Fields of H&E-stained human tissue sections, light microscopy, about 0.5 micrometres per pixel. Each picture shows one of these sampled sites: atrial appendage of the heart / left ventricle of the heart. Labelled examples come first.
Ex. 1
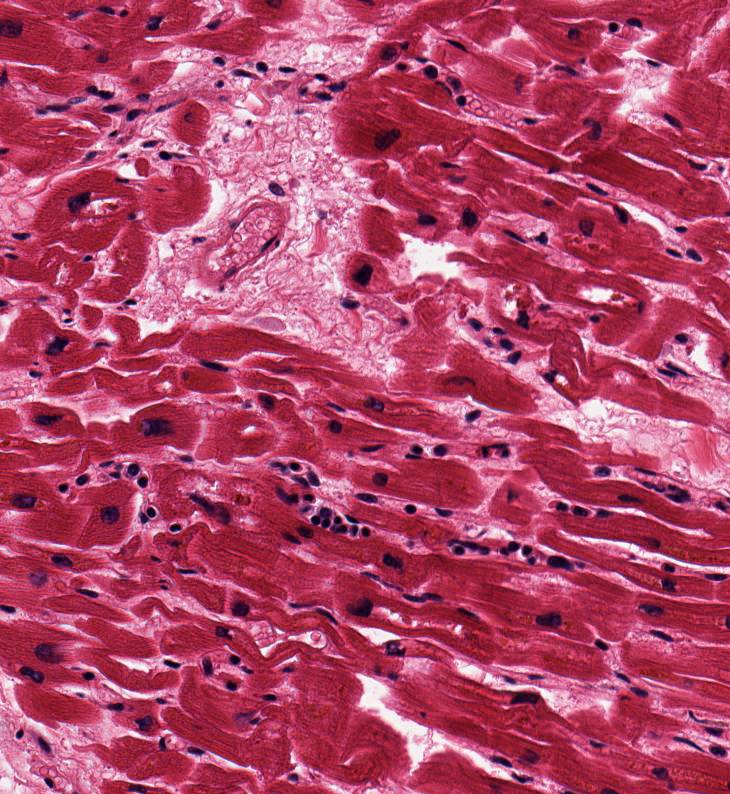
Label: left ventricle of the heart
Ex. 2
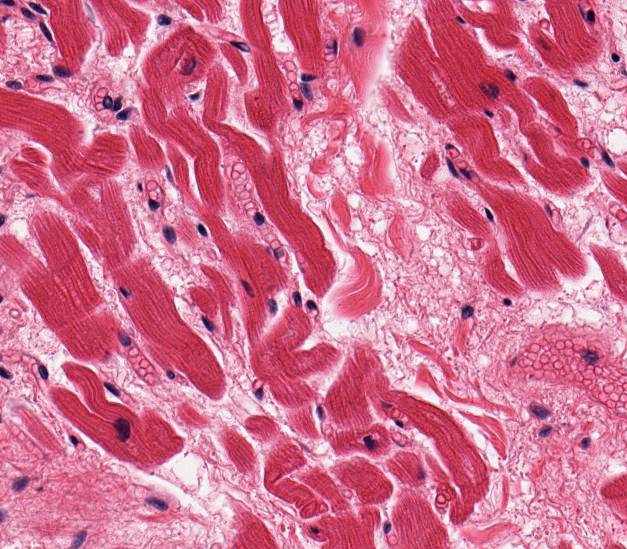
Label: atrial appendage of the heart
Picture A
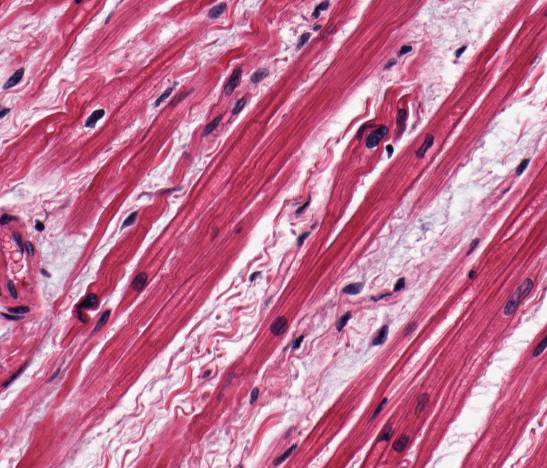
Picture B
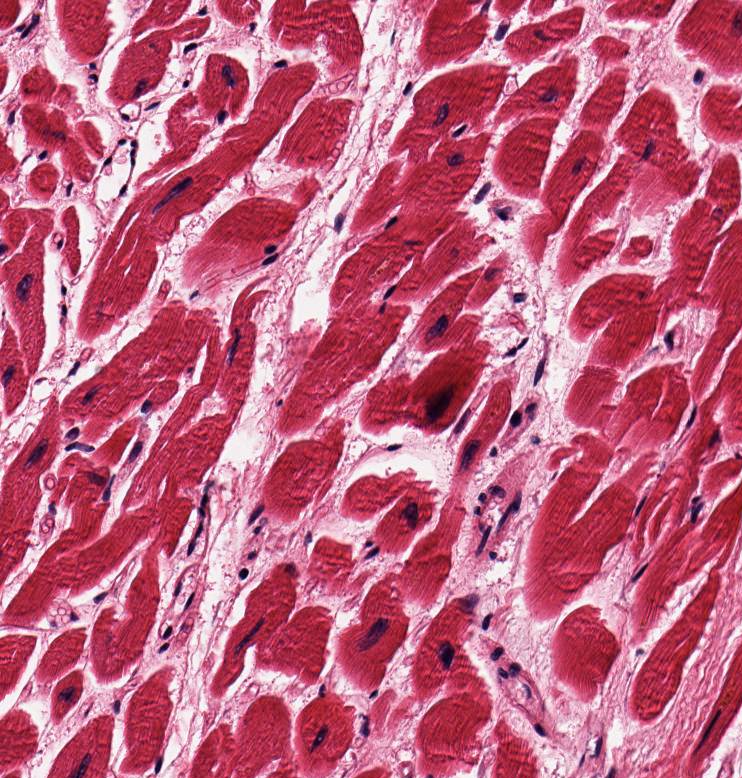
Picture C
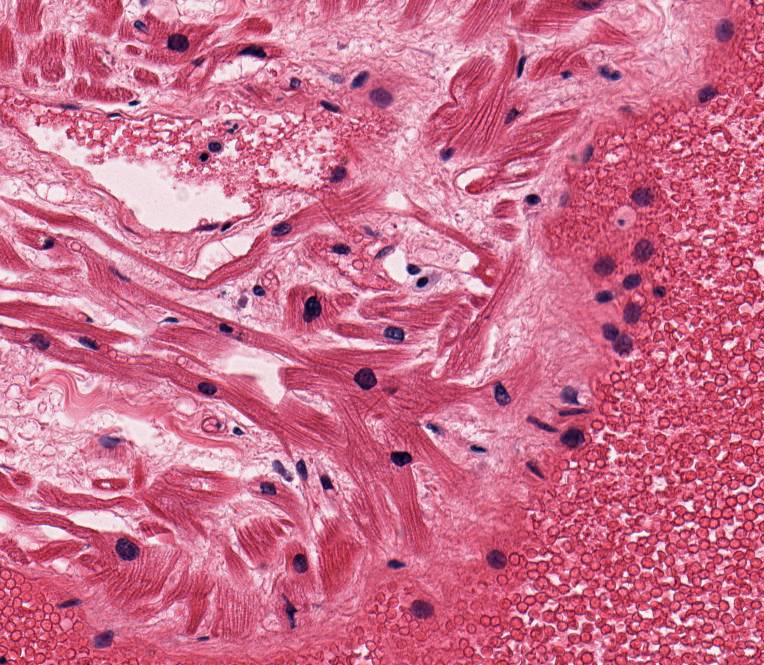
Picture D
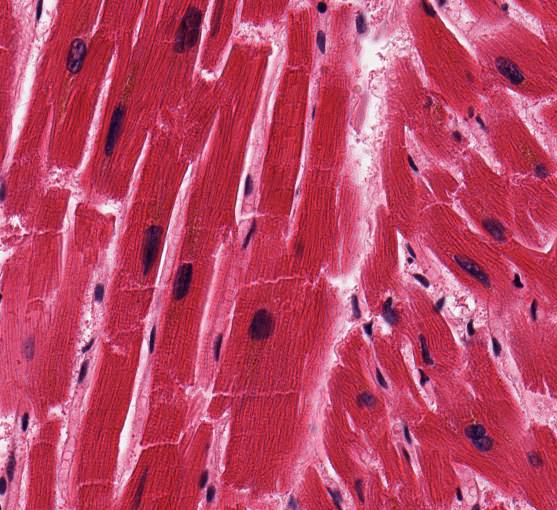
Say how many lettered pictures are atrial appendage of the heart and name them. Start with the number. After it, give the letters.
Count: 2 (A, C)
